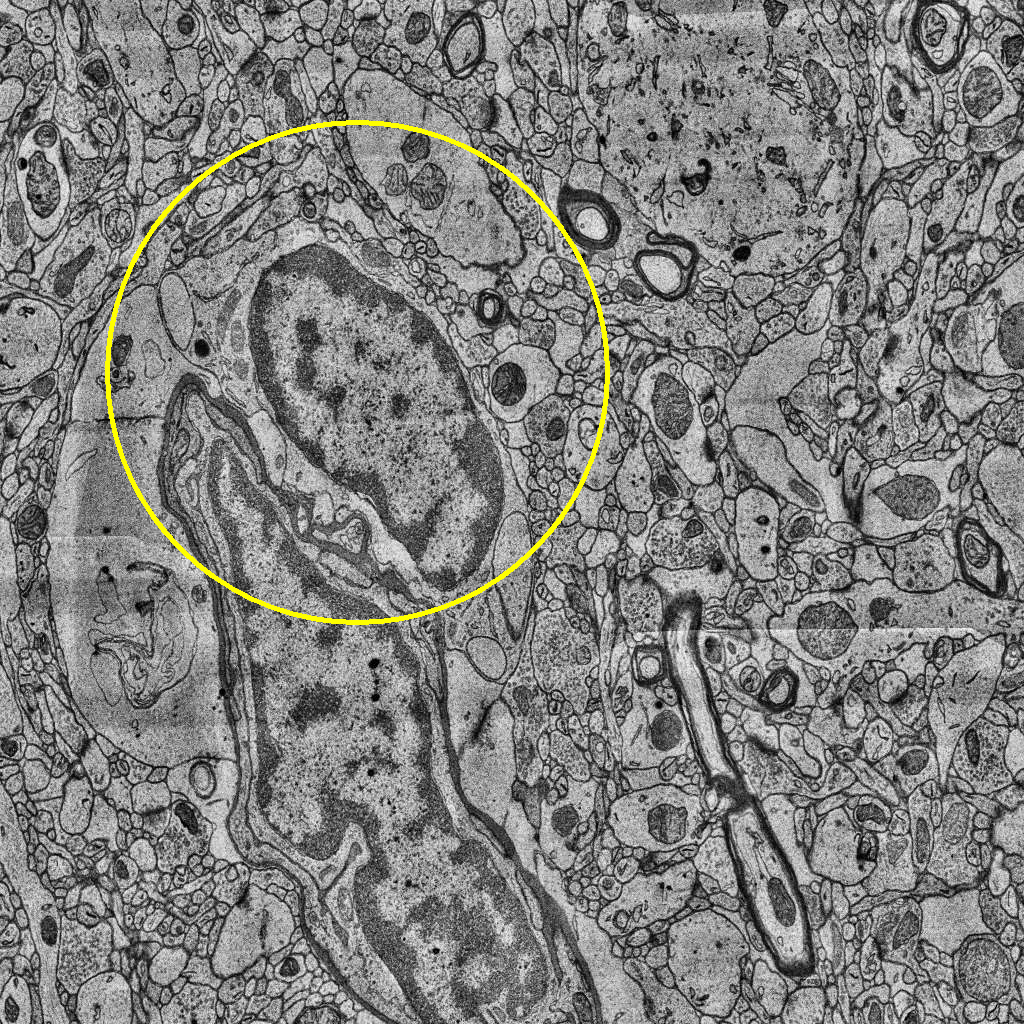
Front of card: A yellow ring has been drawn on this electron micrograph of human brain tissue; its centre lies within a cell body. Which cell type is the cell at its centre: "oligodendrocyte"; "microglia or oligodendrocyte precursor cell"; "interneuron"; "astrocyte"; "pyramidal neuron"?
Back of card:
microglia or oligodendrocyte precursor cell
